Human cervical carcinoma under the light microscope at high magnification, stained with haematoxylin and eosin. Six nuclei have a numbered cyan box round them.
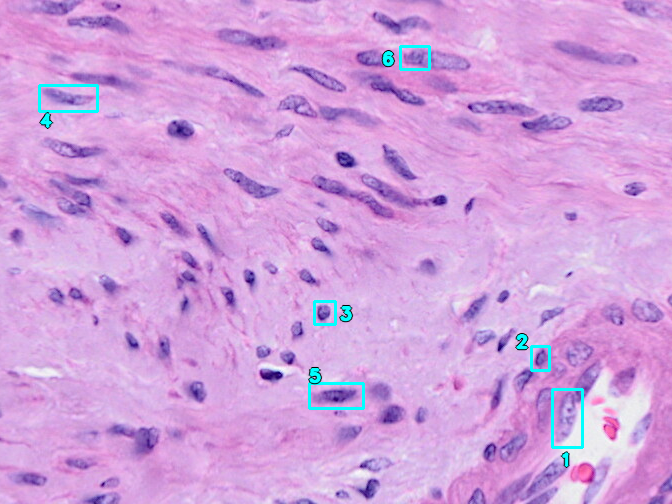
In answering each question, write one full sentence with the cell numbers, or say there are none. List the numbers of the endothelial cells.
Of the cells bearing numbers, the only one that is an endothelial cell is cell 1.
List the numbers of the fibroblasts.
The cells shown with numbers 3, 4 and 5 are fibroblasts.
